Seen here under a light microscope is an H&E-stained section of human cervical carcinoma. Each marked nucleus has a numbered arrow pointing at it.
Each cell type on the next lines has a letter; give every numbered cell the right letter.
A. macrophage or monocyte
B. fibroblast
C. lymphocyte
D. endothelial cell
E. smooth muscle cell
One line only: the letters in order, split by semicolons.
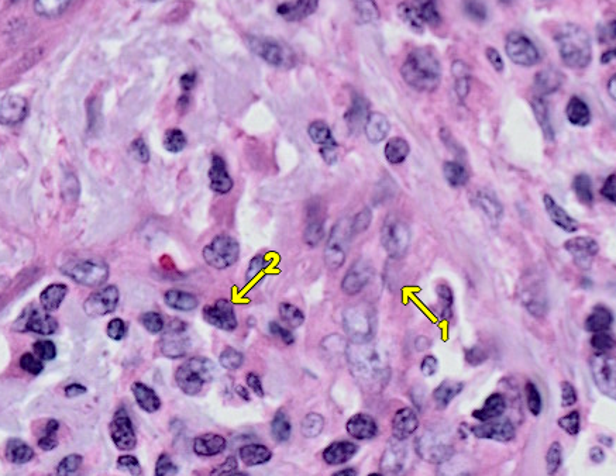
D; C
